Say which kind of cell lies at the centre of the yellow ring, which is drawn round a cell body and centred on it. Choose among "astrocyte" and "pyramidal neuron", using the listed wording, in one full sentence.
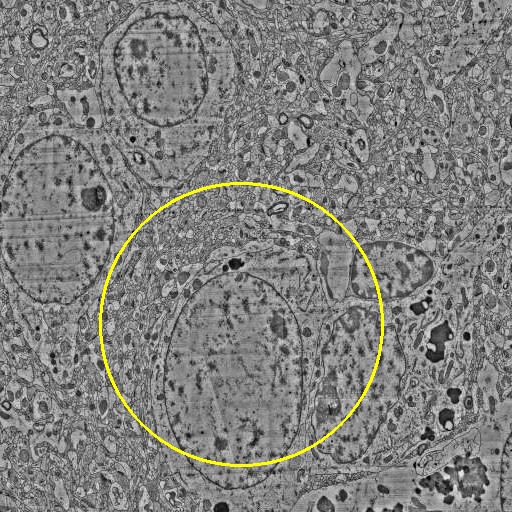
Going by the list, the cell at the yellow ring's centre is a pyramidal neuron.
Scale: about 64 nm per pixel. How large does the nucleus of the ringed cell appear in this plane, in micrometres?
In this plane the nucleus is roughly 14 by 9 micrometres, clearly longer than it is wide.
